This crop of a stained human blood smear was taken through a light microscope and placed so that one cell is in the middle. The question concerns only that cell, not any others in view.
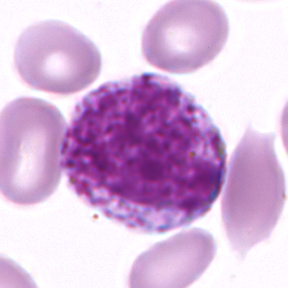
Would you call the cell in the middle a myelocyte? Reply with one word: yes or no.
no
